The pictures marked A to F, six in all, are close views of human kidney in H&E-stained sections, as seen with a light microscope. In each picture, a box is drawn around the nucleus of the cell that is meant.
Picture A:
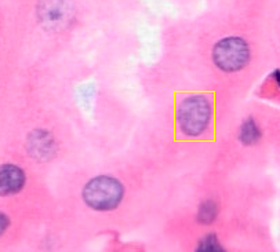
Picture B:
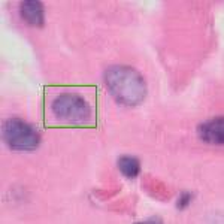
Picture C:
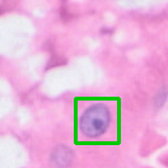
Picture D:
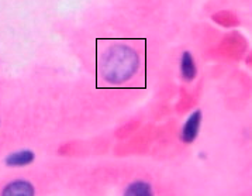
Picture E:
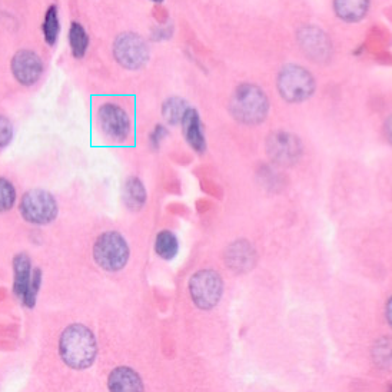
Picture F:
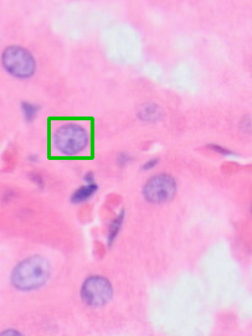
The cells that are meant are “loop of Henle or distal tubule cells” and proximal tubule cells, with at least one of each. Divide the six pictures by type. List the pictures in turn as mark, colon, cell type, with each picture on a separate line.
A: proximal tubule cell
B: loop of Henle or distal tubule cell
C: proximal tubule cell
D: proximal tubule cell
E: loop of Henle or distal tubule cell
F: proximal tubule cell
